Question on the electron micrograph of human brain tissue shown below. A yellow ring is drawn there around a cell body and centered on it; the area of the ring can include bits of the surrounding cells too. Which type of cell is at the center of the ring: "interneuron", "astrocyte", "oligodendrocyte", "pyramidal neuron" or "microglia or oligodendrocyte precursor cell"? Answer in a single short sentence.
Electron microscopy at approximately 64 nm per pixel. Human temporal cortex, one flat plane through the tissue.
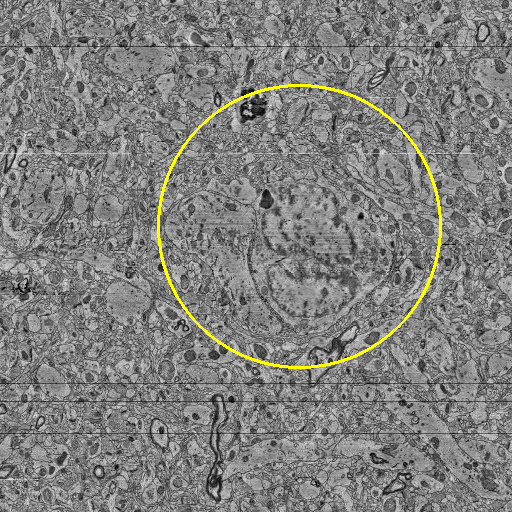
The ring is centered on an interneuron.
